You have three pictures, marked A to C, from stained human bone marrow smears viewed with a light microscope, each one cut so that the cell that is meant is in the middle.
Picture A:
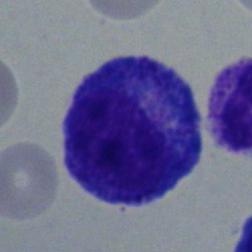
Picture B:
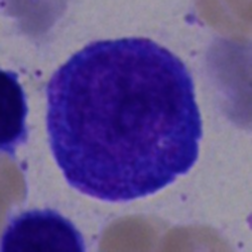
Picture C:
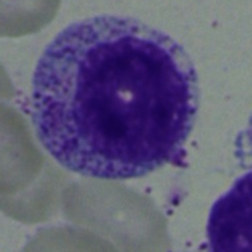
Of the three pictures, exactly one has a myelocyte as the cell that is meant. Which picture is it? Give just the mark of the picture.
C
